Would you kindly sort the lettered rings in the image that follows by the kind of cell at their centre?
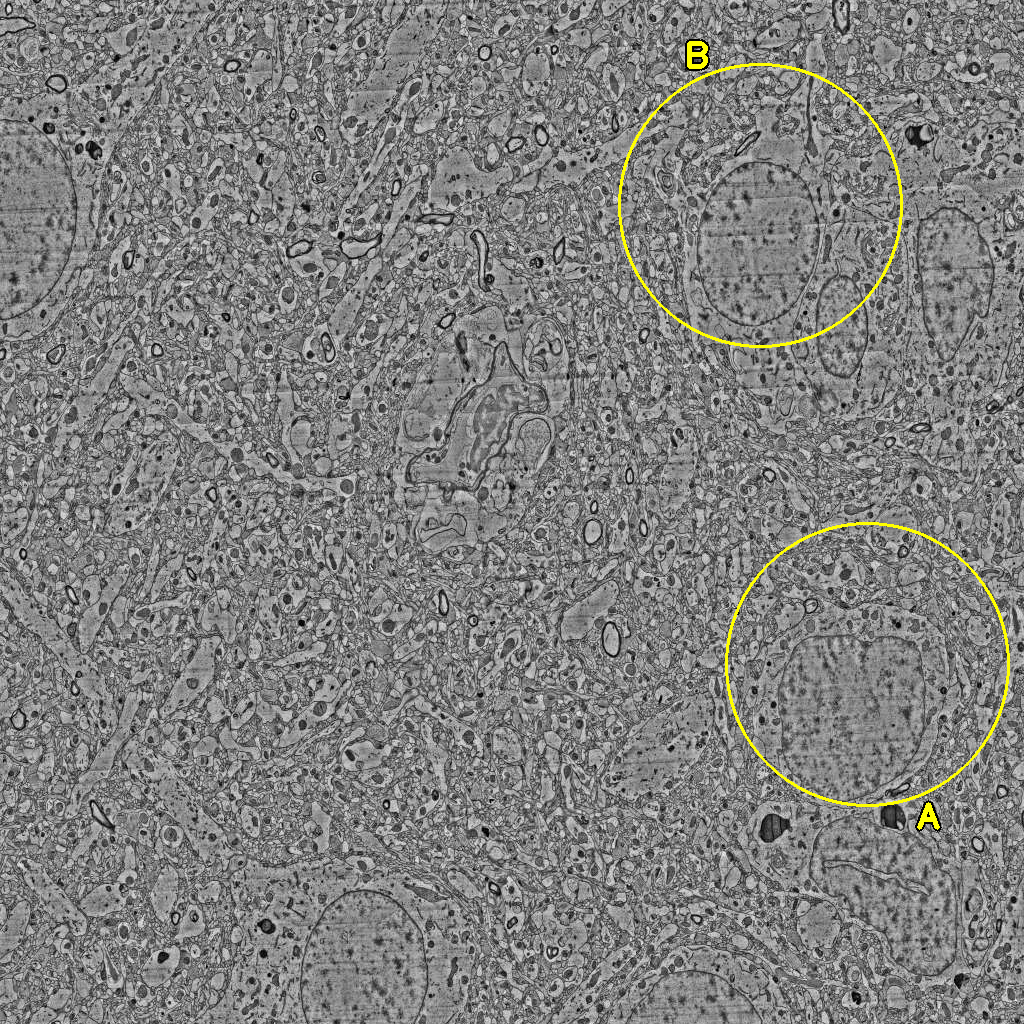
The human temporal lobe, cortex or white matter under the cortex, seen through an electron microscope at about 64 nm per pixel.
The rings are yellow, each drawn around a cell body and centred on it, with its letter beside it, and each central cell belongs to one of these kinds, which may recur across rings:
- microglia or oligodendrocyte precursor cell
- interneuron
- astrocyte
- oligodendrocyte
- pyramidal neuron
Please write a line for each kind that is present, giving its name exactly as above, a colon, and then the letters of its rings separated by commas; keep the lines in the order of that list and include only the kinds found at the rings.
interneuron: A
astrocyte: B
